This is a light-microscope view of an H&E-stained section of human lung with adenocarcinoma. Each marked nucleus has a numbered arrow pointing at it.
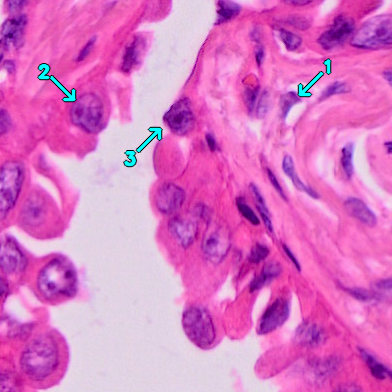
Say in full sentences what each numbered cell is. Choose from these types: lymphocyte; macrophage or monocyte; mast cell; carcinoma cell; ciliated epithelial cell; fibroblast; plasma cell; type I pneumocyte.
Cell 1 is a fibroblast, cell 2 is a carcinoma cell and cell 3 is a carcinoma cell.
